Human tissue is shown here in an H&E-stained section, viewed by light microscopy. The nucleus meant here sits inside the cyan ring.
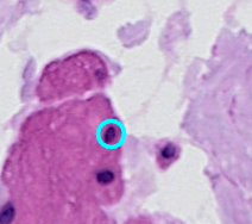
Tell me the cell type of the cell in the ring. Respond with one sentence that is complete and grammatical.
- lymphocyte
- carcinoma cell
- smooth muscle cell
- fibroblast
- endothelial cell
In short, the cell in the ring on this section is a smooth muscle cell.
